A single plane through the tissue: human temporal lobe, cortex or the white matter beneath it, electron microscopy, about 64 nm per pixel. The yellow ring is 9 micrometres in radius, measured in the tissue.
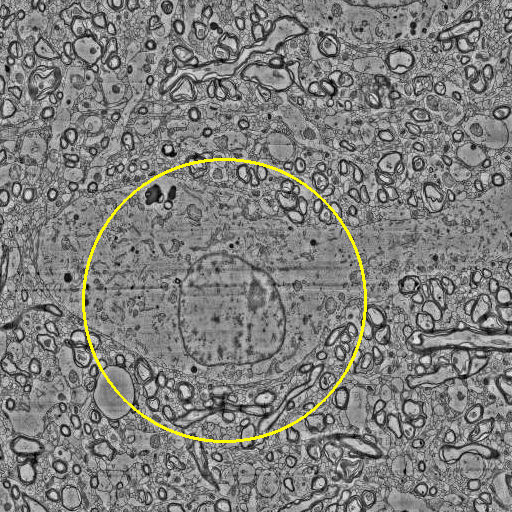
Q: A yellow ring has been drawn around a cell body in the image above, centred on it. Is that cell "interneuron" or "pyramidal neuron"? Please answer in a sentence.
The ring surrounds the cell body of a pyramidal neuron.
